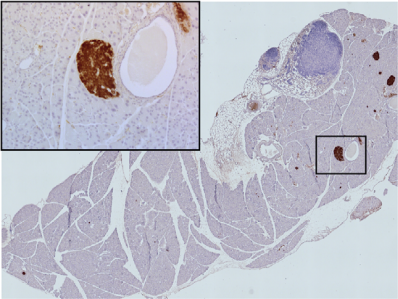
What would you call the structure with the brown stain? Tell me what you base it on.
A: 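Islets of Langerhans. The inset shows a compact, rounded, sharply bounded brown cluster of cells. The brown cluster lies embedded in paler purple glandular tissue. Small brown spots are scattered sparsely through the lobulated section.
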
